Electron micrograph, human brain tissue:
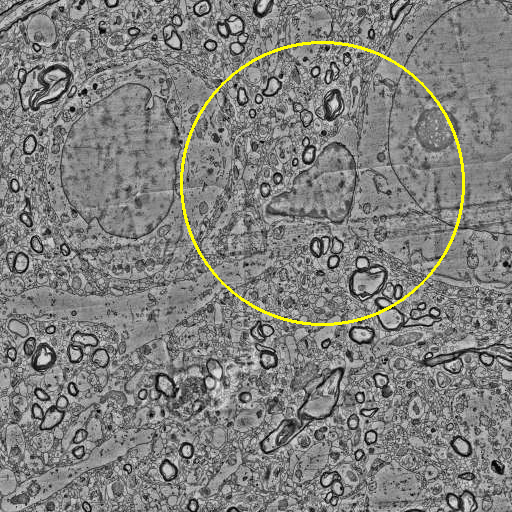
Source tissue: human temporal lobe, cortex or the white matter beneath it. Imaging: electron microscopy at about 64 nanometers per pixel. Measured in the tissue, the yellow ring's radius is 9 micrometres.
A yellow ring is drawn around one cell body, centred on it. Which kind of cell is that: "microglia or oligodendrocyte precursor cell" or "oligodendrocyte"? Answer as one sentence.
It is a microglial cell or oligodendrocyte precursor cell at the centre of the ring.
